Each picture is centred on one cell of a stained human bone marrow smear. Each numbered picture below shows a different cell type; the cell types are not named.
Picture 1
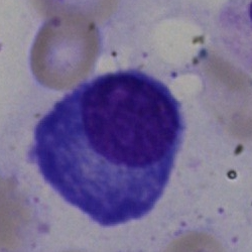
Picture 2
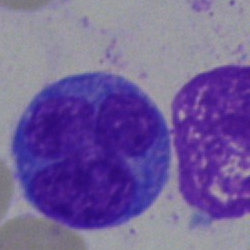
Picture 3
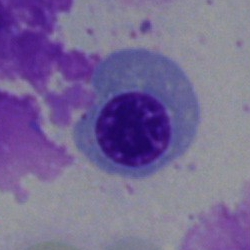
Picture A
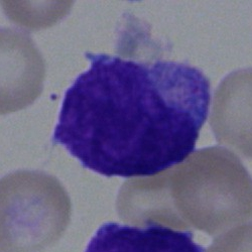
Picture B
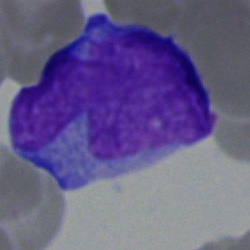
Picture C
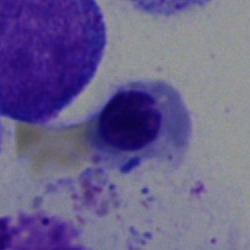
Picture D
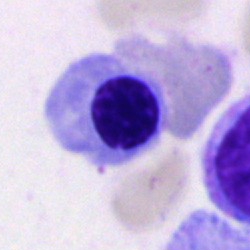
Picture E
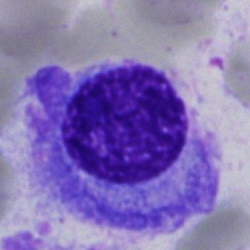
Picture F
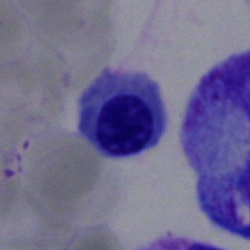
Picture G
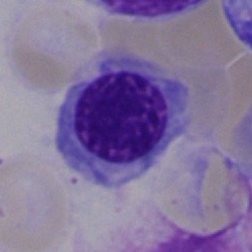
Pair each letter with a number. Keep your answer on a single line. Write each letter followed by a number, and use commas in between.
A 2, B 2, C 3, D 3, E 1, F 3, G 3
